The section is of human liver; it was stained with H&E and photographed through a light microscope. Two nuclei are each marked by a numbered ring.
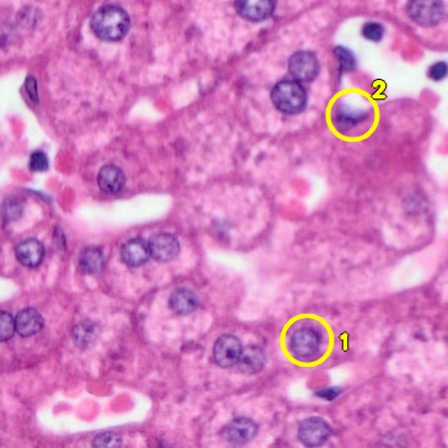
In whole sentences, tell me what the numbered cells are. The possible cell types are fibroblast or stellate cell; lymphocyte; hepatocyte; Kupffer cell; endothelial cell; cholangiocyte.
Cell 1 is a hepatocyte and cell 2 is an endothelial cell.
